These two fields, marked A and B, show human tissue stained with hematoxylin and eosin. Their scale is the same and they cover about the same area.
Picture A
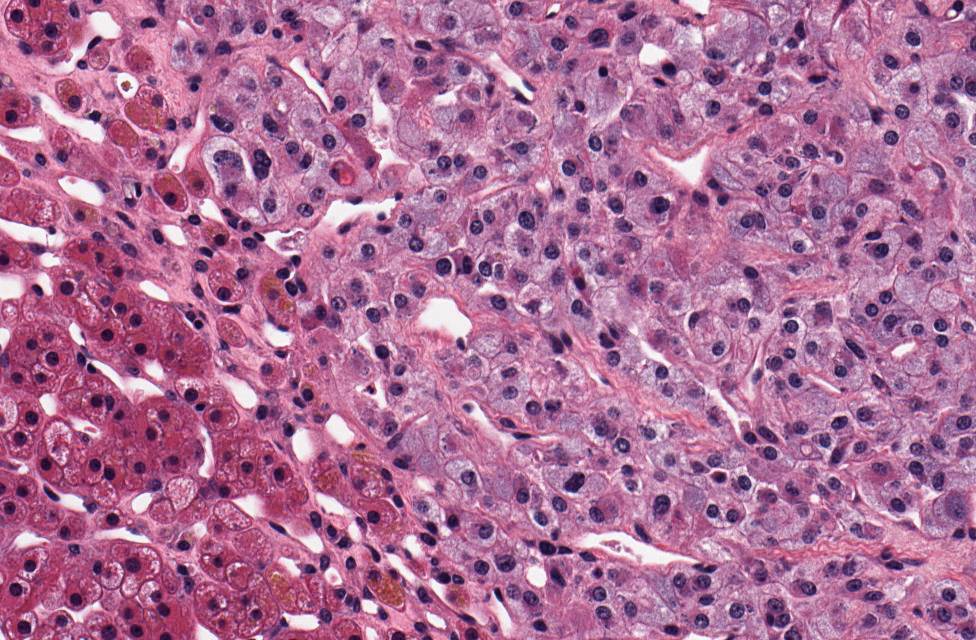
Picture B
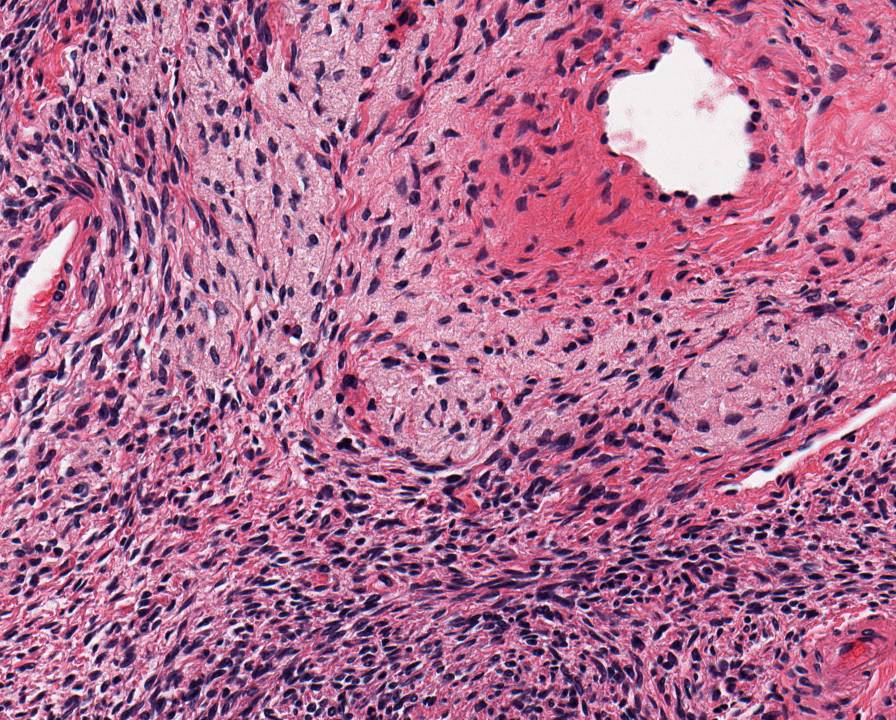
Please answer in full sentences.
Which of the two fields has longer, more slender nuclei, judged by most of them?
The nuclei are more elongated in picture B.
